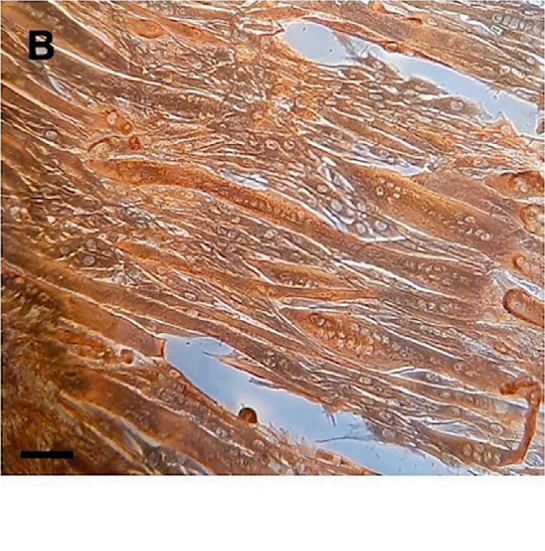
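Densely packed myotubes run roughly parallel across the field, their cytoplasm stained brown. The myotubes are long and ribbon-like, and many contain numerous pale oval nuclei lying in rows along their length. Thinner elongated cells lie between and over the myotubes. A few gaps in the culture show the pale bluish background.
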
